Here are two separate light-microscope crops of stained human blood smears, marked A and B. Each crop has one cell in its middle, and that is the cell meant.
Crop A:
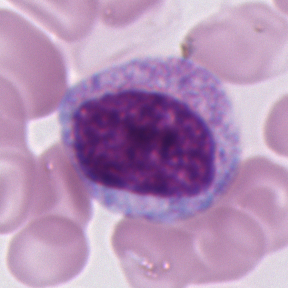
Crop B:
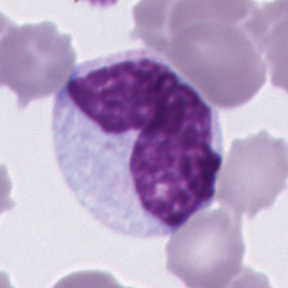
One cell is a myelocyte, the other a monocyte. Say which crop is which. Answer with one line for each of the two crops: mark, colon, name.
A: myelocyte
B: monocyte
